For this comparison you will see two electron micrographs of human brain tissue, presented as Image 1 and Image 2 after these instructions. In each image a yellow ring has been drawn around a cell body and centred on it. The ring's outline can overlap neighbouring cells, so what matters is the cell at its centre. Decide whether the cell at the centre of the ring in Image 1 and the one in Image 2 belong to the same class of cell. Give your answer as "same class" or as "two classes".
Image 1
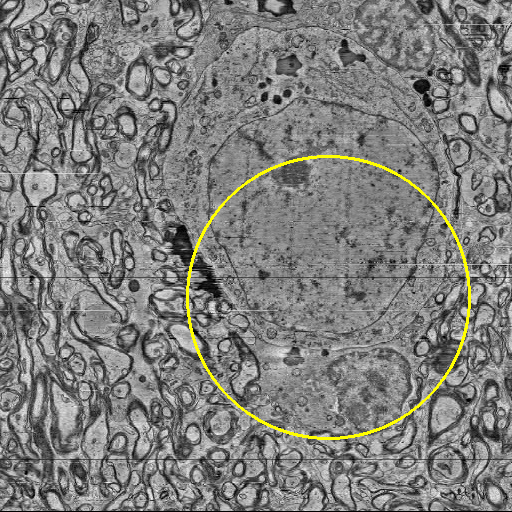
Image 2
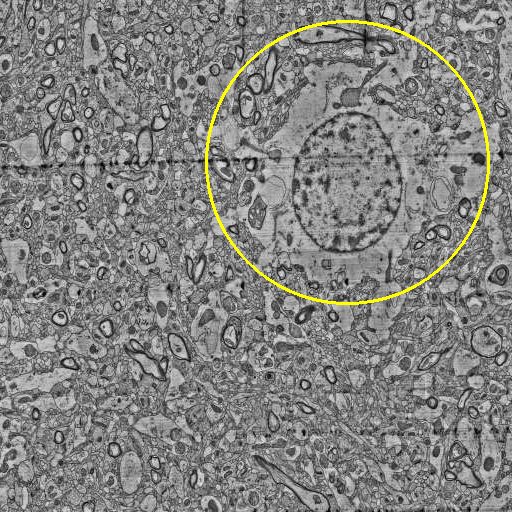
two classes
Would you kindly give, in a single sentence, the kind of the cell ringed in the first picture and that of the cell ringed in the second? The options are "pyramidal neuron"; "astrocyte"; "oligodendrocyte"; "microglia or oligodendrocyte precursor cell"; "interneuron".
The second cell is an astrocyte, and the first cell is a pyramidal neuron.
